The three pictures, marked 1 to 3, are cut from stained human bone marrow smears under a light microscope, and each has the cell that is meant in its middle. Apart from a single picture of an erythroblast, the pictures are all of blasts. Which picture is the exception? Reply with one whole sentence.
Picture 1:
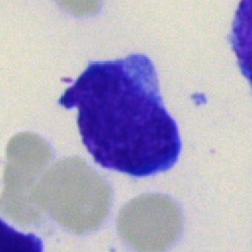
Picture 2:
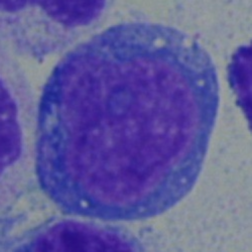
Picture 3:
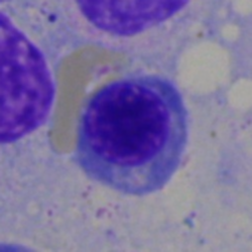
The picture with the erythroblast is 3.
